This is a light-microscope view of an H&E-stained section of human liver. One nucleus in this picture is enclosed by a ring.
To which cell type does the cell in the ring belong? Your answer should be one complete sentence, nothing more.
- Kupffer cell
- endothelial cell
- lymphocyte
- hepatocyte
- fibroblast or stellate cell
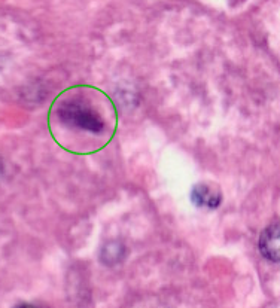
It is as a fibroblast or stellate cell that the cell in the ring is recorded.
